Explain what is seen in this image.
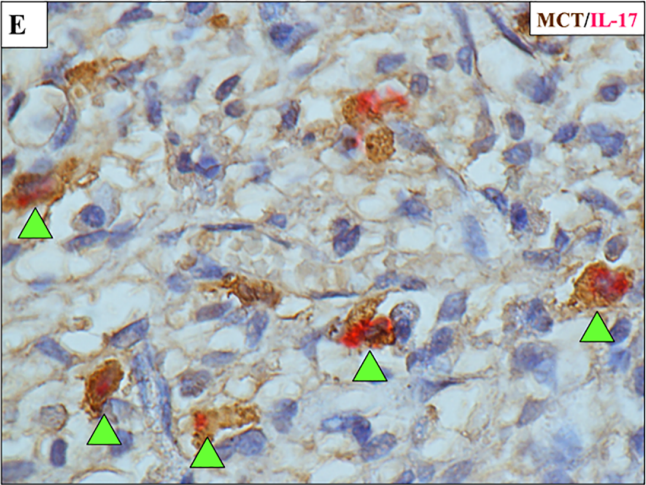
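Loose stroma with scattered mast cells among blue-stained oval and spindle nuclei of other cells. The mast cells are rounded to irregular, with granular brown cytoplasm around a nucleus, and several carry red deposits within or at the edge of the brown cytoplasm.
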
